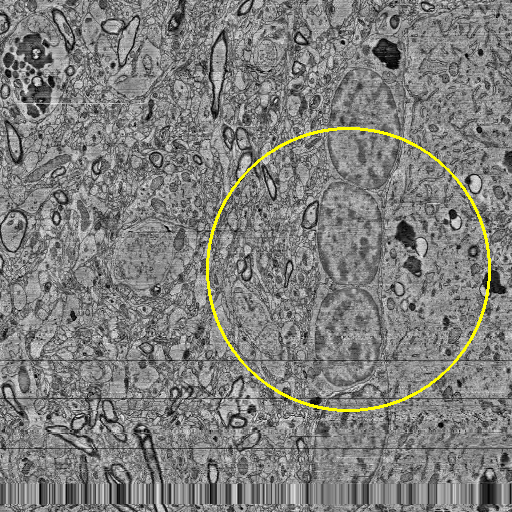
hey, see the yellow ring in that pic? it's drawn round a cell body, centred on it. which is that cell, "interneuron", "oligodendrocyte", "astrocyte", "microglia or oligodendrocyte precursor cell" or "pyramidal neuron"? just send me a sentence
The cell in the ring is an oligodendrocyte.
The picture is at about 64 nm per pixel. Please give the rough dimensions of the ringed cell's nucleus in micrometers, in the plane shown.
About 7 micrometres by about 5 micrometres in this plane.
